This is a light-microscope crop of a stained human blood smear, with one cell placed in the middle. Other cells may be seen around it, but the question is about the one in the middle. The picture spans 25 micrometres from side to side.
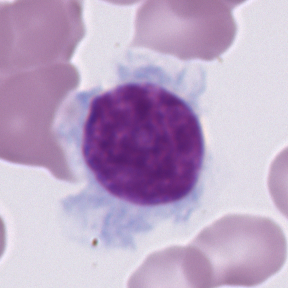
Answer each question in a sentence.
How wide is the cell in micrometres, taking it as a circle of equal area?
The diameter of the cell comes to about 14 micrometres.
